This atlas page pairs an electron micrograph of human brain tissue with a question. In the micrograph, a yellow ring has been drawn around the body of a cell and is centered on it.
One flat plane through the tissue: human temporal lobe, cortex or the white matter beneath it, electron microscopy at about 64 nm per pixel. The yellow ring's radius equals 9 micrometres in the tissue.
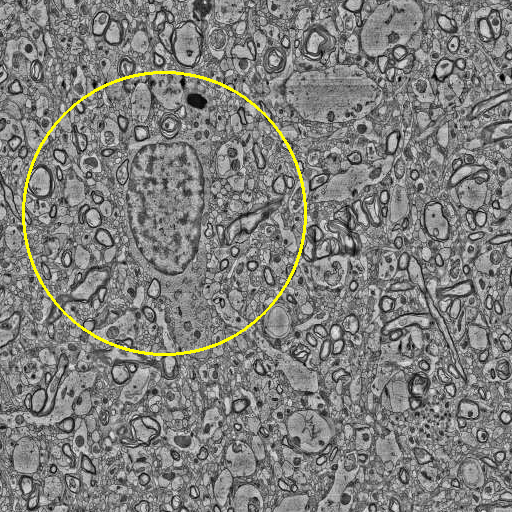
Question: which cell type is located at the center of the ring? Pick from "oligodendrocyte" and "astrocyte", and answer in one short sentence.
Located at the center of the ring is an oligodendrocyte.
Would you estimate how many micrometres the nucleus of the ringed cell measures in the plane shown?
The nucleus of the ringed cell is clearly longer than it is wide in this plane, about 8 by 5 micrometres.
